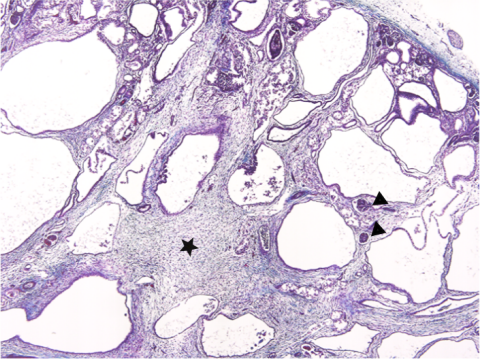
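This kidney section is dominated by many large, dilated cystic tubules lined by a thin, flattened epithelium. The cysts are separated by broad bands of pale, loose connective tissue. Small, compact, darkly stained immature glomeruli and a few ordinary tubules lie near the outer edge.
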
